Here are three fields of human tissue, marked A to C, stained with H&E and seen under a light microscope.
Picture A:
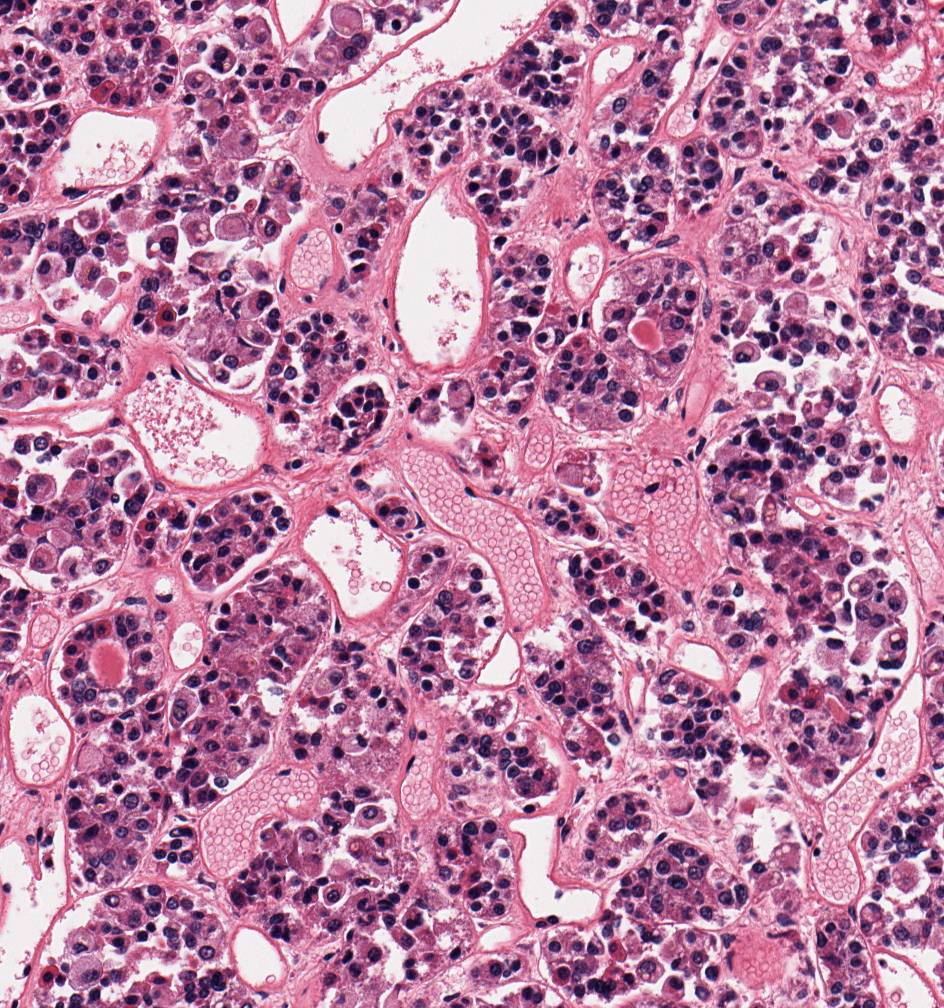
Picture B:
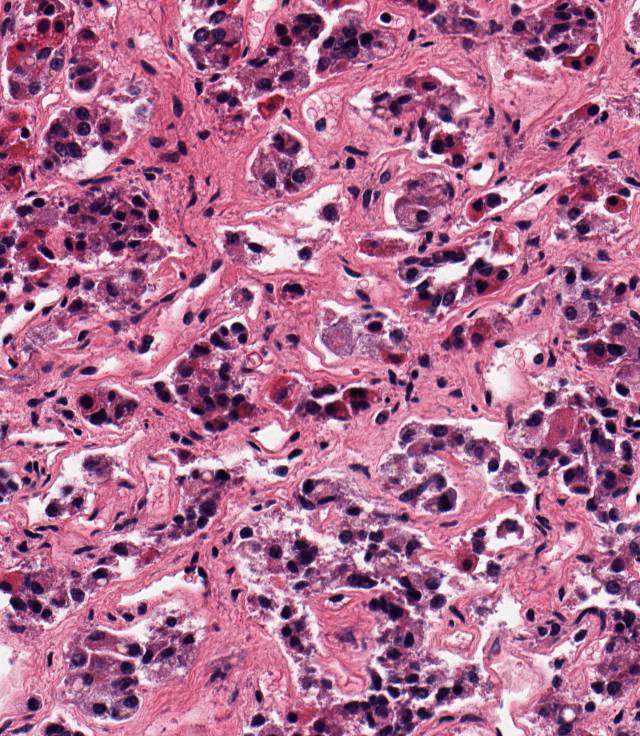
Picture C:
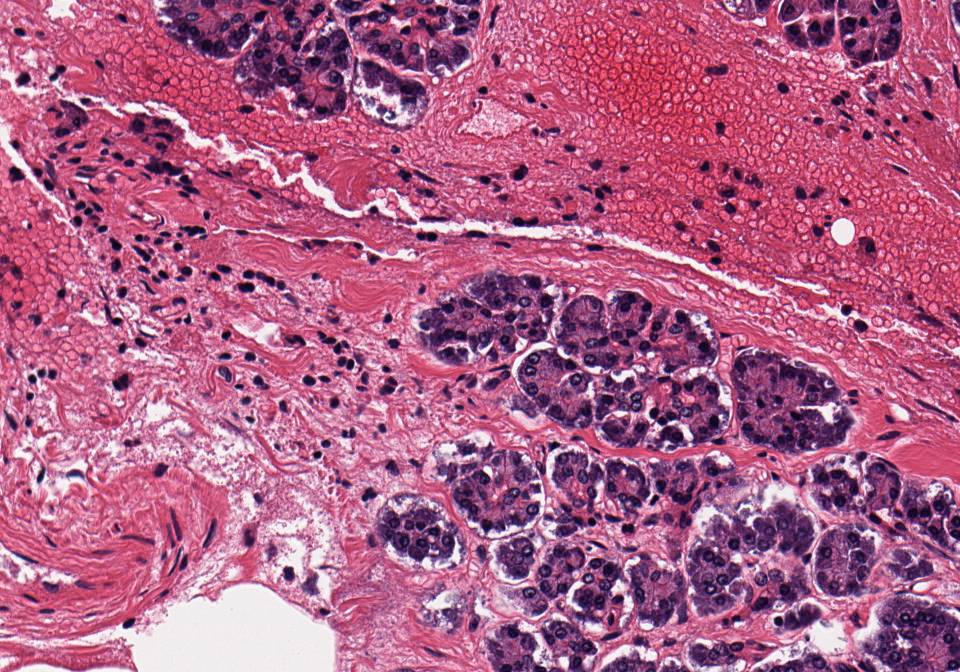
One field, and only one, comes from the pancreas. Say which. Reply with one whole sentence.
It is picture C that comes from the pancreas.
